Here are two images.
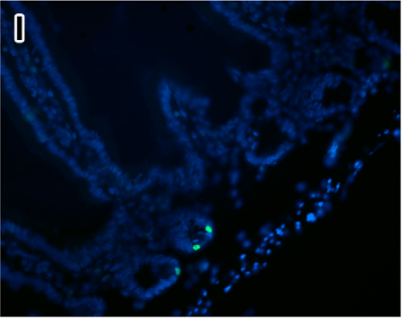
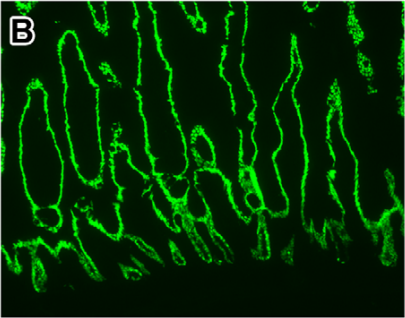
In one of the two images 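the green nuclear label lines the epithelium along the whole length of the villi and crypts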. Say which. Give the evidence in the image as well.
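Second image: continuous green bands outline every villus from base to tip.
Conclusion: the second image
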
